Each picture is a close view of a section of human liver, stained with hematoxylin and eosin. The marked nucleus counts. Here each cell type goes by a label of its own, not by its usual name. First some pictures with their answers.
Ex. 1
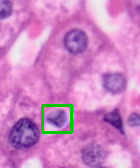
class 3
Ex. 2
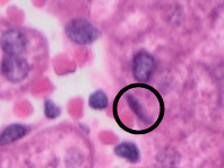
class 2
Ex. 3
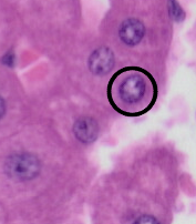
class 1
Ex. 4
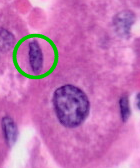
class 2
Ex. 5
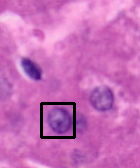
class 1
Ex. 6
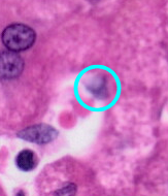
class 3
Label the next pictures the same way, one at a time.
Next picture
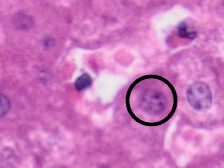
class 1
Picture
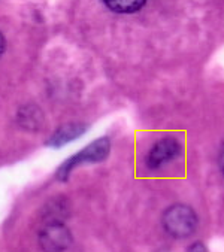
class 2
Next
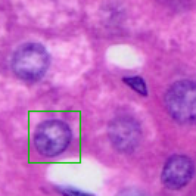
class 1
